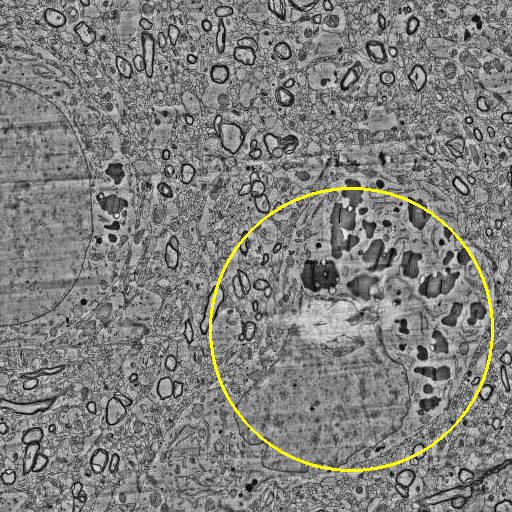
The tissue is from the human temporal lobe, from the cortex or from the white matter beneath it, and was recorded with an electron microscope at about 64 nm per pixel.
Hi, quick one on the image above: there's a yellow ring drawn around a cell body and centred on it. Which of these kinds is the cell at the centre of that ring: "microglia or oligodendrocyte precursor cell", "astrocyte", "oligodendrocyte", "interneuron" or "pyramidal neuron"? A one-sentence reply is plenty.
The cell at the centre of the ring is an interneuron.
